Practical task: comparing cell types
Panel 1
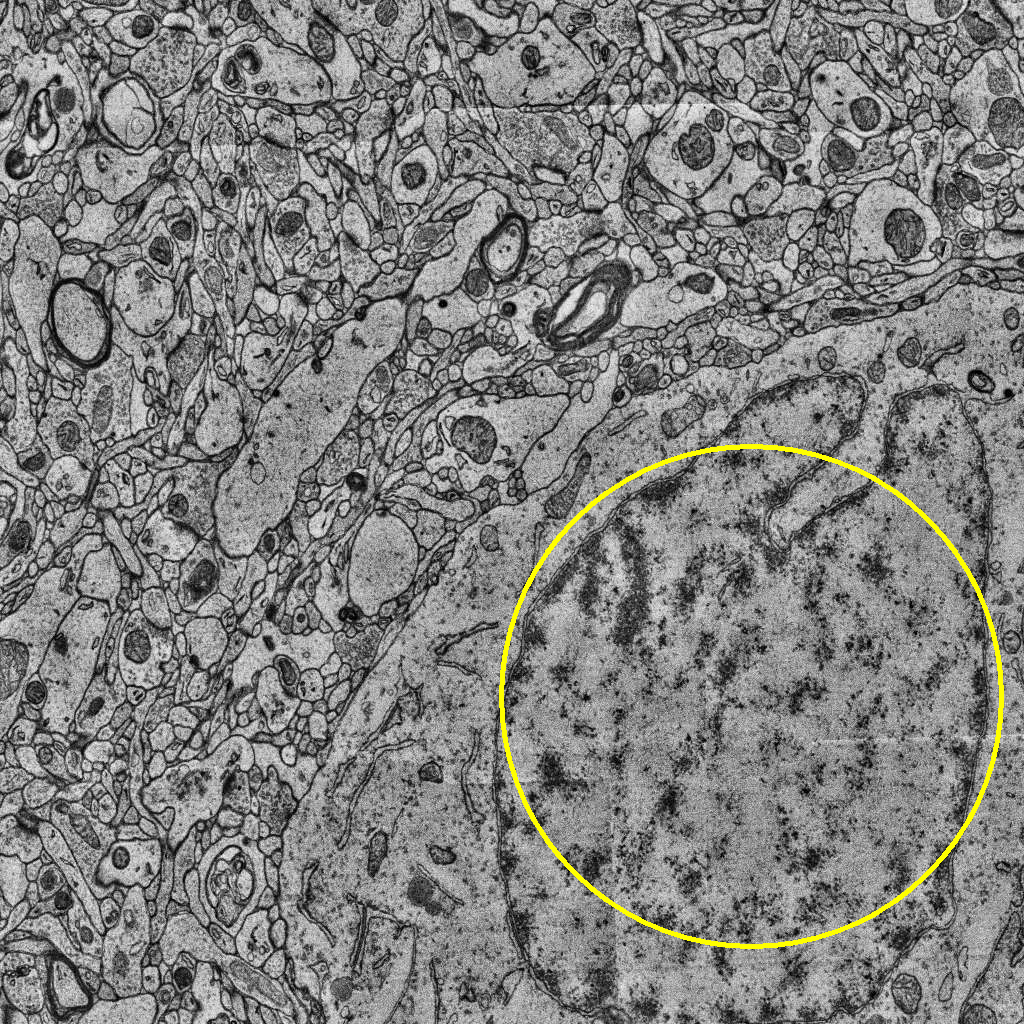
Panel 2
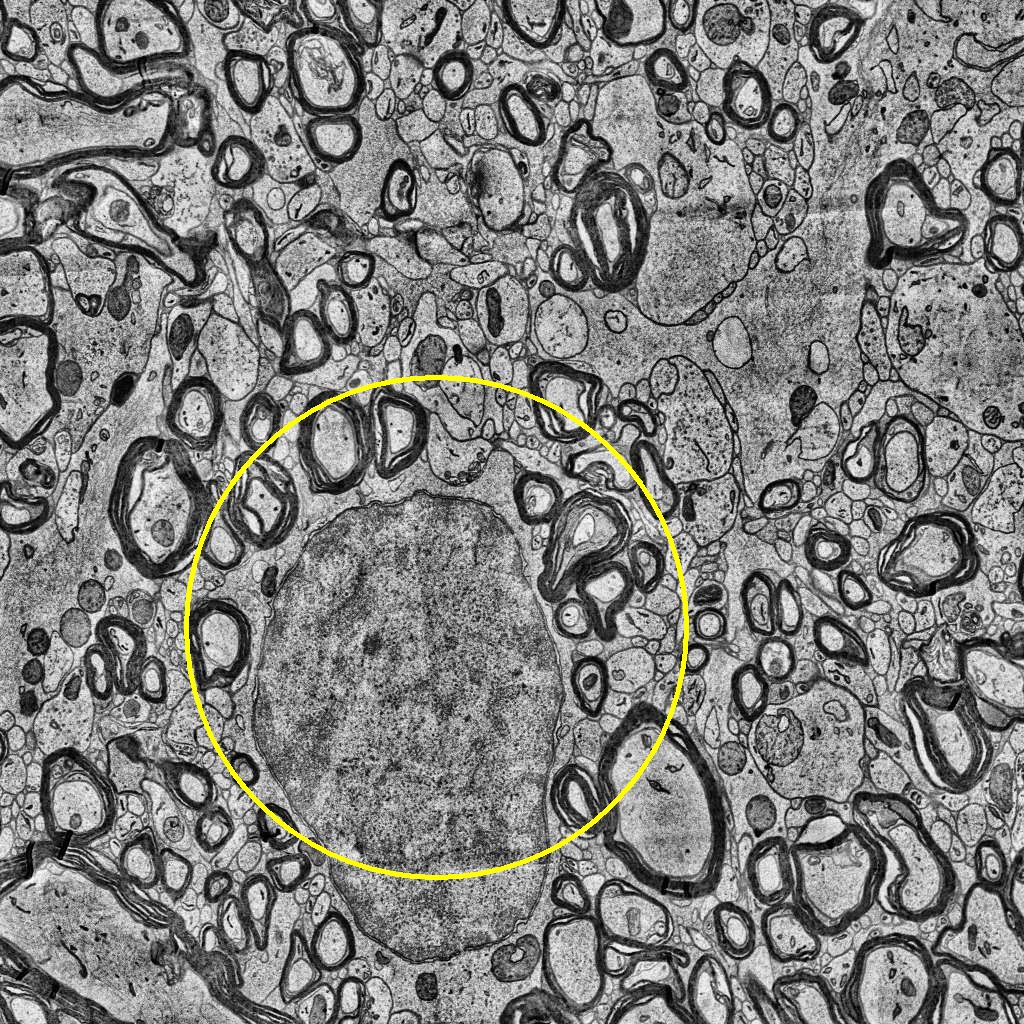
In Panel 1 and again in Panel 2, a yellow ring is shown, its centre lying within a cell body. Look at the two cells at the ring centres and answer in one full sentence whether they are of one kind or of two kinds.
The two cells sitting at the ring centres of Panels 1 and 2 are of two kinds.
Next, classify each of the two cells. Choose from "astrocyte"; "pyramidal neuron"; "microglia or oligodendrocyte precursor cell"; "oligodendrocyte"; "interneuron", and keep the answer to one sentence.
The ring in the first picture surrounds an interneuron, and the ring in the second surrounds an oligodendrocyte.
